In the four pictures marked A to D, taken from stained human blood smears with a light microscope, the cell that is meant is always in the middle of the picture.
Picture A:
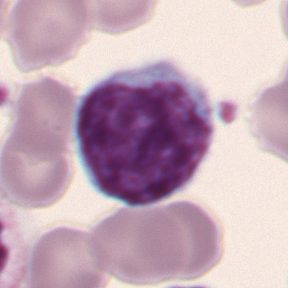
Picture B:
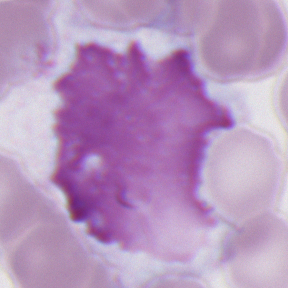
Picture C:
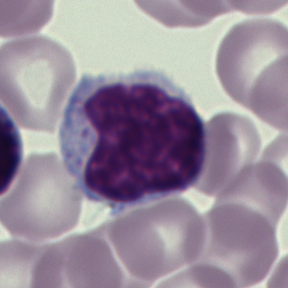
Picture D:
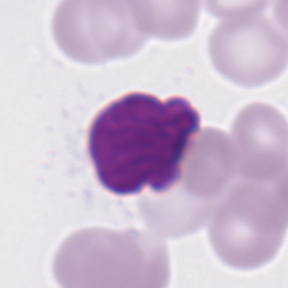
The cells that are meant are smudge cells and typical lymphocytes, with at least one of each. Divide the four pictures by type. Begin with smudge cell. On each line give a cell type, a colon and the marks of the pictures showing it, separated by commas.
smudge cell: B, D
typical lymphocyte: A, C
